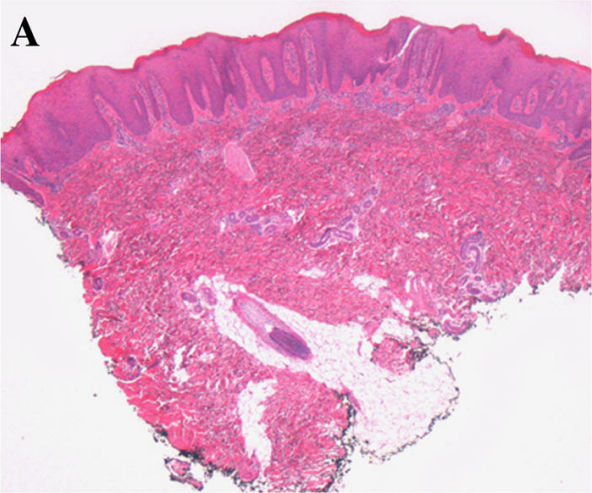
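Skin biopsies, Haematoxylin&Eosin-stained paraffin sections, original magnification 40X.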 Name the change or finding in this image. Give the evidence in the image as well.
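Marked elongation of rete ridges. The epidermis is thickened with many regular elongated downward projections. Dermis with adnexa lies below.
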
